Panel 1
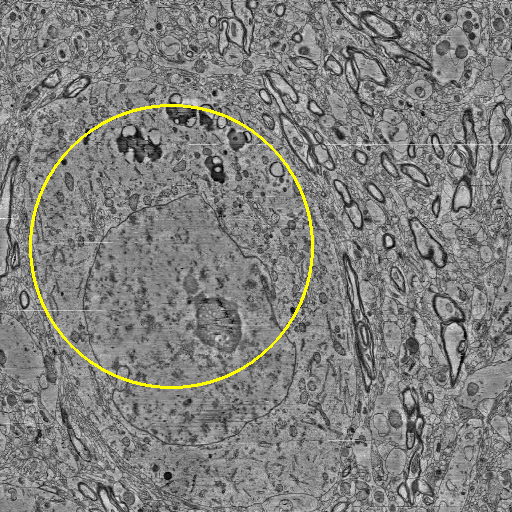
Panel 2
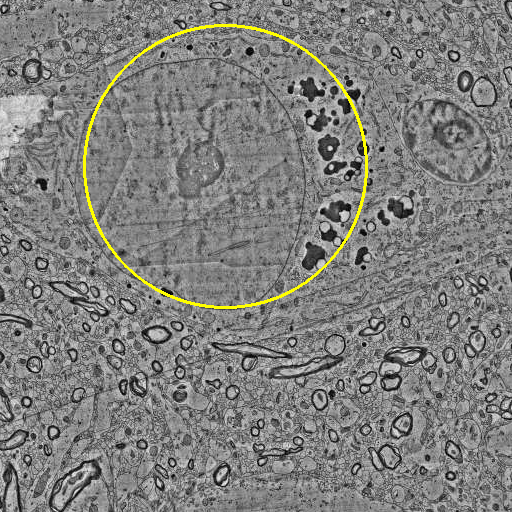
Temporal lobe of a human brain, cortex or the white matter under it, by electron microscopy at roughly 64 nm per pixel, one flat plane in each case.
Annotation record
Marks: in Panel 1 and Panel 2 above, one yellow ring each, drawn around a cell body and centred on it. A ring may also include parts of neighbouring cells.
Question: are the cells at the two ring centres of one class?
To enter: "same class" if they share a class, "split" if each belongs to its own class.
same class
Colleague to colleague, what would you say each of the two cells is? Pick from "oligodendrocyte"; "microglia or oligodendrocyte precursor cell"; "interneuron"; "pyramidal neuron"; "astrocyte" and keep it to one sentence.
The first and the second cell are each a pyramidal neuron.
